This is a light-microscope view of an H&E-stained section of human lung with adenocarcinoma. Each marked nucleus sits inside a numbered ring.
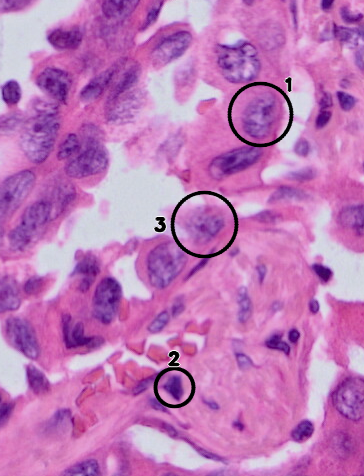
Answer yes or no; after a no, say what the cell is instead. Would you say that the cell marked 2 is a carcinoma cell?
No, it is a lymphocyte.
